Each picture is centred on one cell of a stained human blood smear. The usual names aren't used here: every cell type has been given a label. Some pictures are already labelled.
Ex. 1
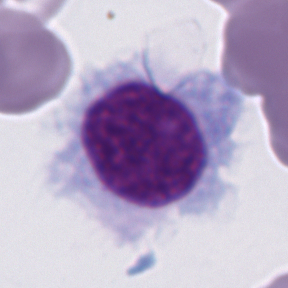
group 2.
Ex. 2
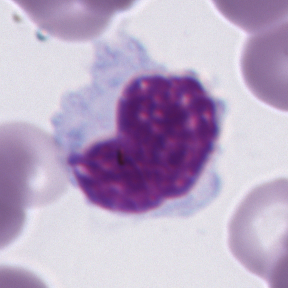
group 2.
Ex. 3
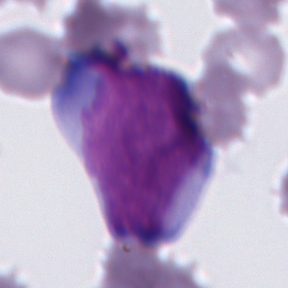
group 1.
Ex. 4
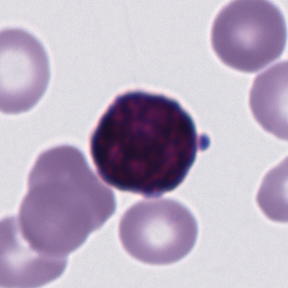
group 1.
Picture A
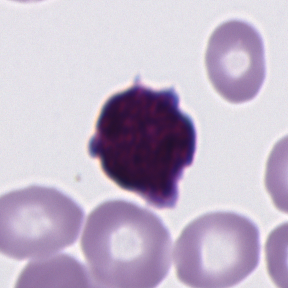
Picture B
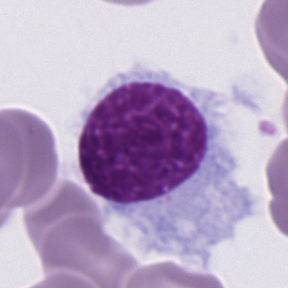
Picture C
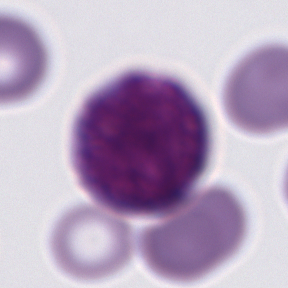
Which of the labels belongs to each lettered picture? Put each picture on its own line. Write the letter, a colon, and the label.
A: group 1.
B: group 2.
C: group 1.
